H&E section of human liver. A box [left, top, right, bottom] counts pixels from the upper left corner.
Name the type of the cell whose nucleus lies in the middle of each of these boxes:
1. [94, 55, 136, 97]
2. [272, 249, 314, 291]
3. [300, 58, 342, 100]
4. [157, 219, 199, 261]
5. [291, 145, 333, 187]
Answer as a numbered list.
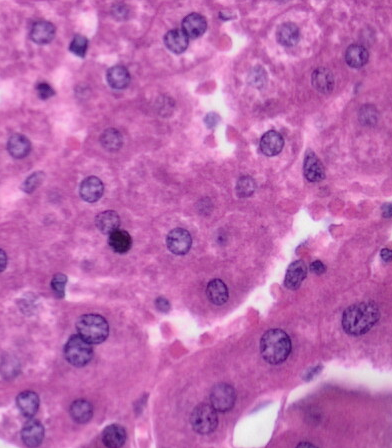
1. hepatocyte
2. Kupffer cell
3. hepatocyte
4. hepatocyte
5. Kupffer cell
